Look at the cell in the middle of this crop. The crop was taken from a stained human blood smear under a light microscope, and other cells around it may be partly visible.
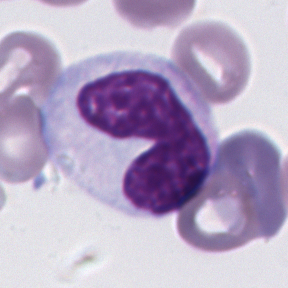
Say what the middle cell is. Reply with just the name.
band neutrophil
